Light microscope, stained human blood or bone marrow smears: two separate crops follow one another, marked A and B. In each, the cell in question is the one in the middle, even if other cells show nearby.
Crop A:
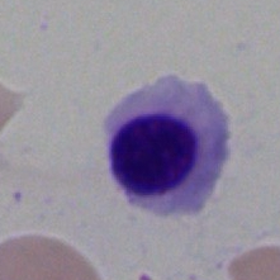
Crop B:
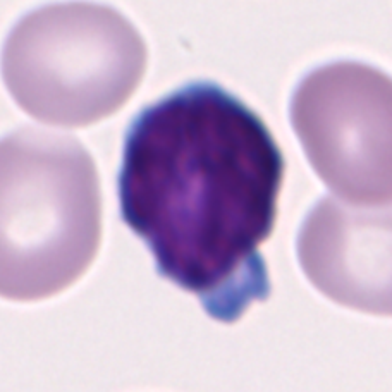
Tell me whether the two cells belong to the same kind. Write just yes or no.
no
